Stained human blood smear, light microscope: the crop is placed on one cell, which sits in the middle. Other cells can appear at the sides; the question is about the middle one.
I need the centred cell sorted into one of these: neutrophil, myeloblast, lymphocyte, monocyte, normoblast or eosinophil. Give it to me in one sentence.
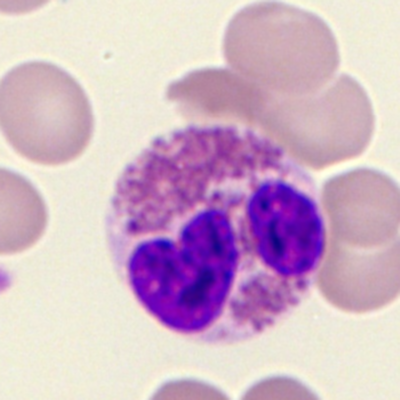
The cell centred in this crop is categorized as an eosinophil.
